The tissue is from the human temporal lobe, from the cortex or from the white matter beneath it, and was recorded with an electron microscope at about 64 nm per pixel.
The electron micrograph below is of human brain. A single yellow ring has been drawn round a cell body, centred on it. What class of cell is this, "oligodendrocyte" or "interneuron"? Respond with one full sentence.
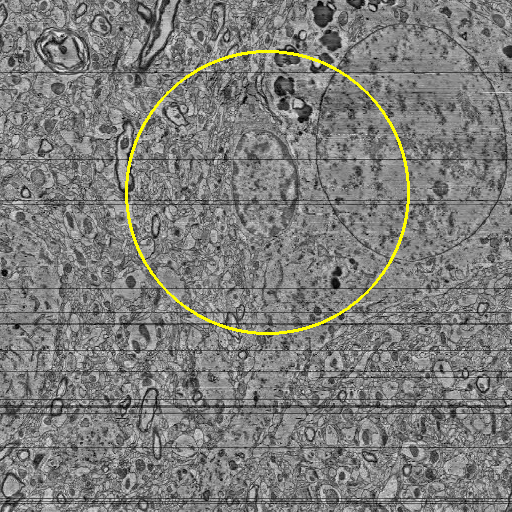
In the micrograph, the cell centred inside the yellow ring is an oligodendrocyte.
